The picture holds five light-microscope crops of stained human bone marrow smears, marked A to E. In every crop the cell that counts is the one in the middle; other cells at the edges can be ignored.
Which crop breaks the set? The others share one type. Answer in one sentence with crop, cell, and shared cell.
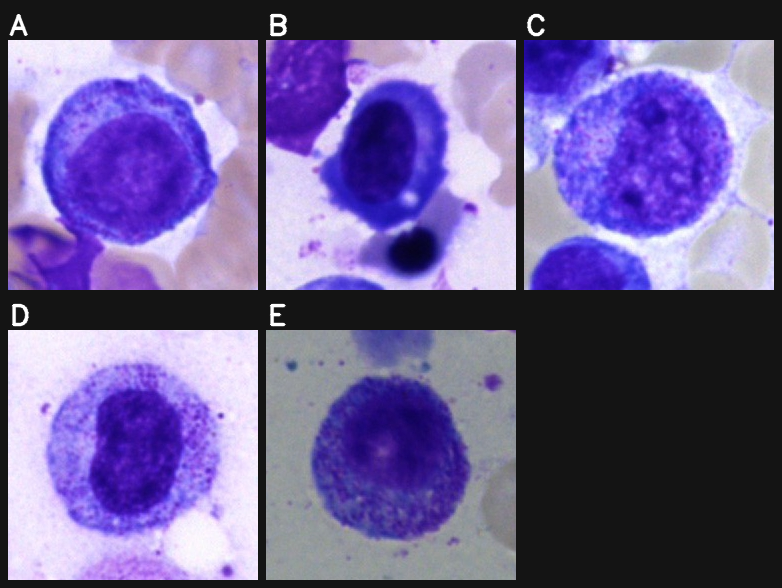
The odd one out is crop B, a plasma cell, and all other crops show promyelocytes.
